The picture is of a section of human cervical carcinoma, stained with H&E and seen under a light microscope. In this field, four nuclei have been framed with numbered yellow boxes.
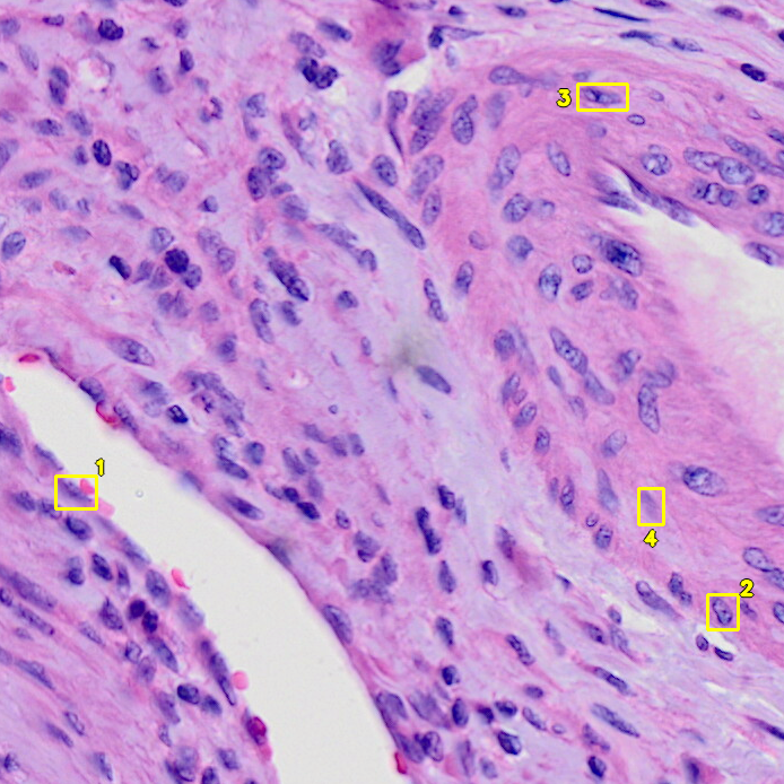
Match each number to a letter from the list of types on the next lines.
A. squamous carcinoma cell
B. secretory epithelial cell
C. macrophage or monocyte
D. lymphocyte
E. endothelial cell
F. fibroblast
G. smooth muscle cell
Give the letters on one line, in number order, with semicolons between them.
E; G; G; G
